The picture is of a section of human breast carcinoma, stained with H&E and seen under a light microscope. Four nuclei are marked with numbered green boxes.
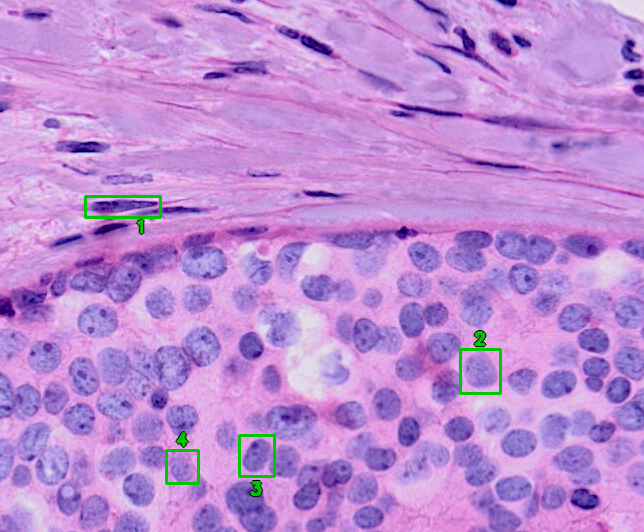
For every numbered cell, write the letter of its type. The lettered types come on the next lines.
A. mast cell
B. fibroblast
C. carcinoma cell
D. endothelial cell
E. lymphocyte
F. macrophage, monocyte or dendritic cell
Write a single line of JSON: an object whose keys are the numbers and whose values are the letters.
{"1": "B", "2": "C", "3": "C", "4": "C"}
